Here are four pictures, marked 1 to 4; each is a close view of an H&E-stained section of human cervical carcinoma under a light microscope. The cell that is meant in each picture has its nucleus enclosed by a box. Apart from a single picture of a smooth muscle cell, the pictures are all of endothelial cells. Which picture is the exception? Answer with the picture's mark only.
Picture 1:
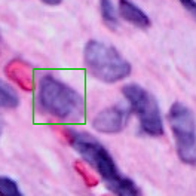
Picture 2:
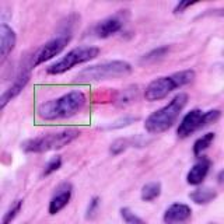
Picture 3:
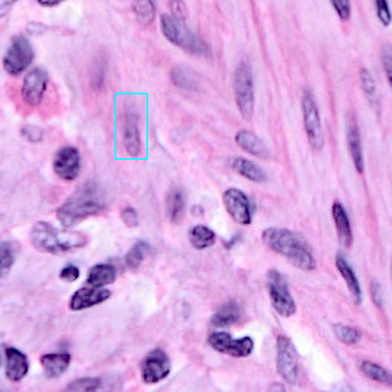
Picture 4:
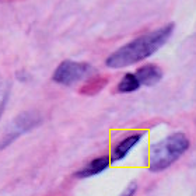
3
